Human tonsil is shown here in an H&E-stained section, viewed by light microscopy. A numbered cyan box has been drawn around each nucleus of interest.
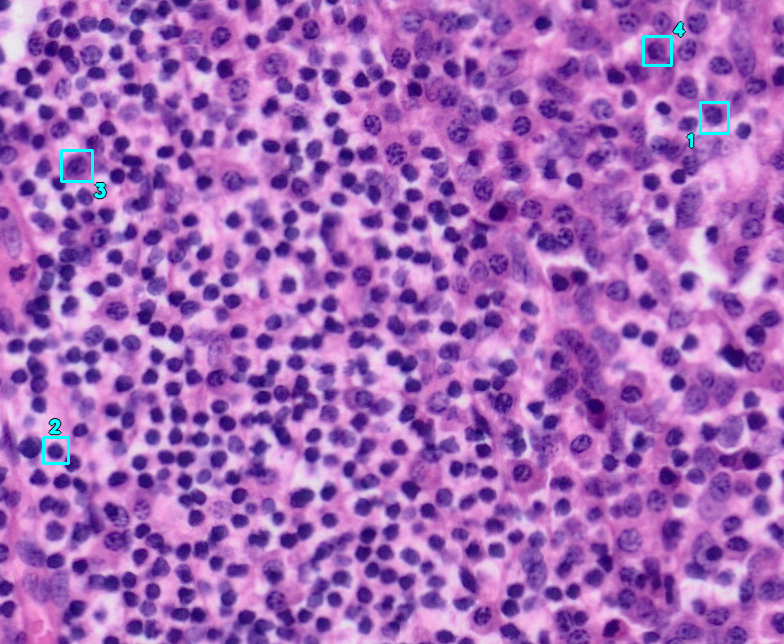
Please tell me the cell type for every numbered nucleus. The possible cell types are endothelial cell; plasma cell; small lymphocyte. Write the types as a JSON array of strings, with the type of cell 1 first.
["plasma cell", "small lymphocyte", "plasma cell", "plasma cell"]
